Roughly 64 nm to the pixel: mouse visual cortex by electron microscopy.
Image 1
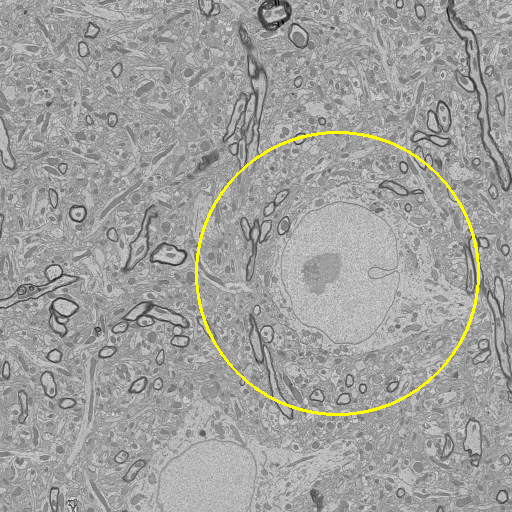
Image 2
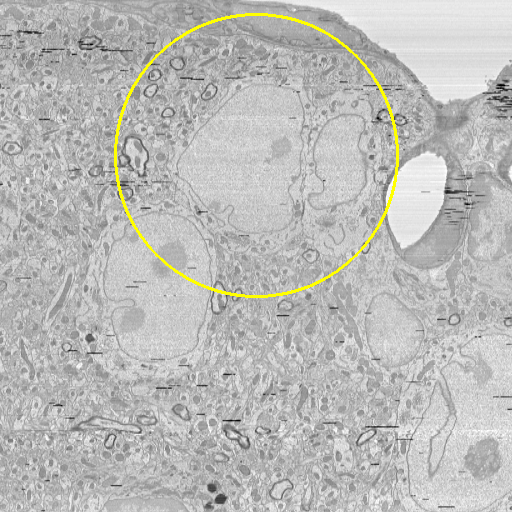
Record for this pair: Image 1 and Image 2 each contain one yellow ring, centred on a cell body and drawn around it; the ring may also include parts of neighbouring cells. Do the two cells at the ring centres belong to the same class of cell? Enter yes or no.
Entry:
yes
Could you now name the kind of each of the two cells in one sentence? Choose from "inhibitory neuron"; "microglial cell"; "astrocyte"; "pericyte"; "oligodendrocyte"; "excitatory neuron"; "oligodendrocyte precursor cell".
Each cell at the centre of a ring is an excitatory neuron.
